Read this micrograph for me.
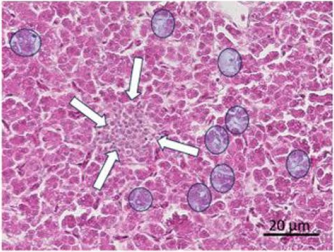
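This is liver parenchyma with hepatocytes stained pink and purple, with a focal cluster of small inflammatory cells near the centre. The hepatocytes are polygonal, with pink cytoplasm and round nuclei, and lie in closely packed cords separated by narrow pale spaces. Near the middle a roughly round group of small cells with dark round nuclei and scant cytoplasm interrupts the cords. No large vessel is in view.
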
